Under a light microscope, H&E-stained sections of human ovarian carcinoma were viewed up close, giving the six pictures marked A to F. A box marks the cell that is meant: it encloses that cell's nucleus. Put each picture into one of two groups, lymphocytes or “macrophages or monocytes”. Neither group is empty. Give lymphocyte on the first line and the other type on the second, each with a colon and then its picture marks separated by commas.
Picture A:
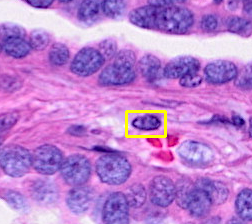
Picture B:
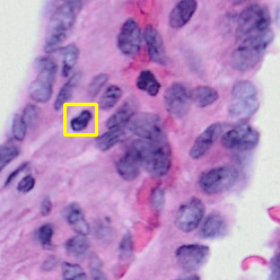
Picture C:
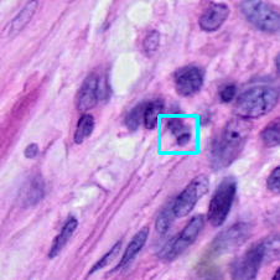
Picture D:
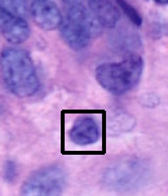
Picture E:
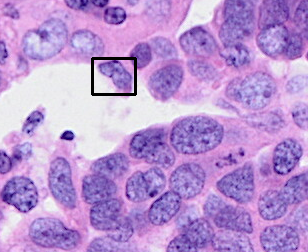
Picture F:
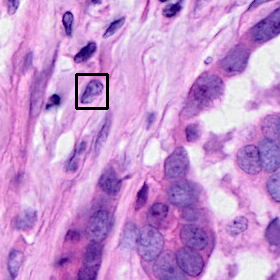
lymphocyte: B, D, F
macrophage or monocyte: A, C, E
